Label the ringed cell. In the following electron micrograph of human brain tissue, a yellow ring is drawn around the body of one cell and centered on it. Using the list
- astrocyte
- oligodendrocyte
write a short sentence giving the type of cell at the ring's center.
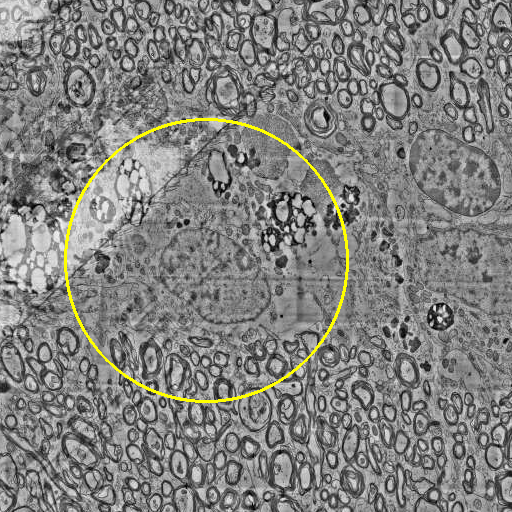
The cell body at the ring's center is that of an astrocyte.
